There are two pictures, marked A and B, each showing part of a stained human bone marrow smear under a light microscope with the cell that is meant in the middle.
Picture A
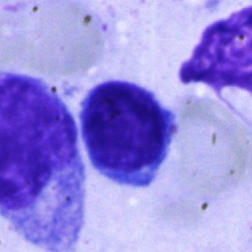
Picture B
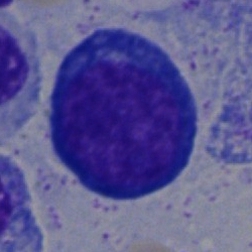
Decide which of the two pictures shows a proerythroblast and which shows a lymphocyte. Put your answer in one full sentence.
The cell in picture A is a lymphocyte, and the one in picture B is a proerythroblast.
